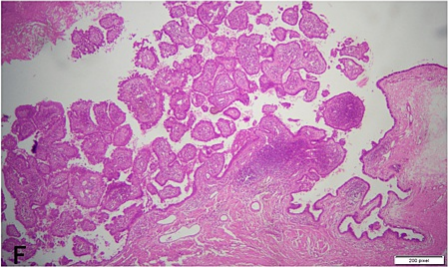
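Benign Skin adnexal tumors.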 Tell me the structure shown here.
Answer: Papillary structures.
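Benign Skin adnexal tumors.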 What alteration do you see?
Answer: Syringocytadenoma papilliferum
